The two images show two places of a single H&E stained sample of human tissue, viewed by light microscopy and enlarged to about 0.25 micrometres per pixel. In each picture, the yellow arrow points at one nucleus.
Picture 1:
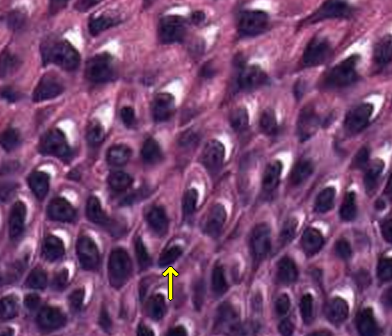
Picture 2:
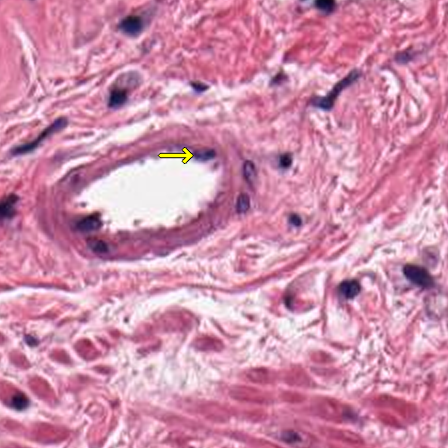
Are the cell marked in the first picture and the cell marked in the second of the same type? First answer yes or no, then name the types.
No, the first is a squamous epithelial cell and the second an endothelial cell.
